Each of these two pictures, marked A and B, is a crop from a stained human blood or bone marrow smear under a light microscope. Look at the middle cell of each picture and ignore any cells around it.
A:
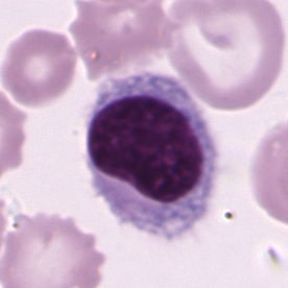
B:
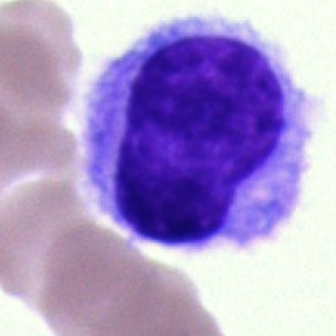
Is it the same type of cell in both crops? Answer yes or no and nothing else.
yes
